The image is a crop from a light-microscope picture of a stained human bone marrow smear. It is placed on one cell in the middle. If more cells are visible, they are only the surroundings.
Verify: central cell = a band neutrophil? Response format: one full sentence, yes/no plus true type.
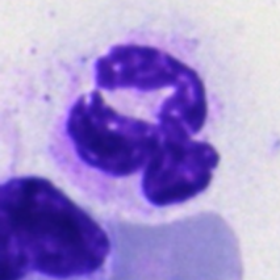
No, it is a segmented neutrophil and not a band neutrophil that occupies the middle of the crop.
